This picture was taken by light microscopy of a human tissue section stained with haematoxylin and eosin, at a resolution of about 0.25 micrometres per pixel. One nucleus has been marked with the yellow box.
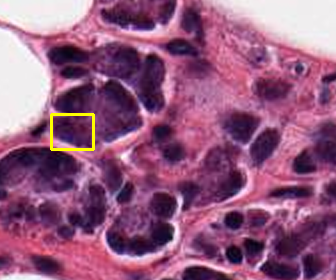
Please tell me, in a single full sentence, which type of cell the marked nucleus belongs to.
The nucleus with the mark belongs to a pancreatic acinar cell.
